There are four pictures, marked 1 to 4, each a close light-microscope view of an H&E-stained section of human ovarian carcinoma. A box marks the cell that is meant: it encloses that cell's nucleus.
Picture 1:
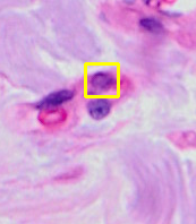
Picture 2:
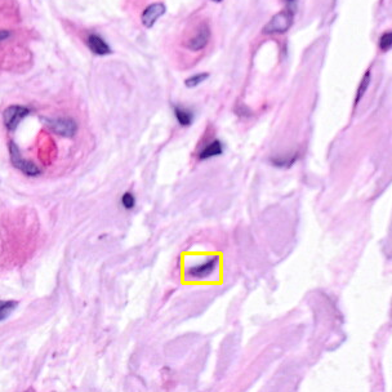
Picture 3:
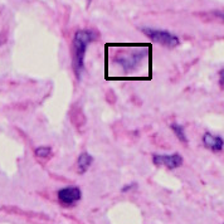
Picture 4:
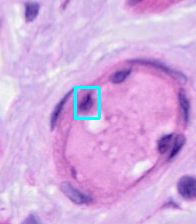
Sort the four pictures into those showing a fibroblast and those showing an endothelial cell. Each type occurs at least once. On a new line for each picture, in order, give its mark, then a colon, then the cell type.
1: endothelial cell
2: endothelial cell
3: fibroblast
4: endothelial cell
